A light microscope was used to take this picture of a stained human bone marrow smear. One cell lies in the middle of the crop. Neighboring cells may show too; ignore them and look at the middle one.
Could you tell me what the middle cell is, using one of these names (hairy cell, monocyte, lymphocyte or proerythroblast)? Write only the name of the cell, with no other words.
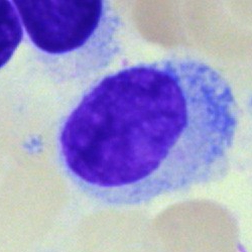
hairy cell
